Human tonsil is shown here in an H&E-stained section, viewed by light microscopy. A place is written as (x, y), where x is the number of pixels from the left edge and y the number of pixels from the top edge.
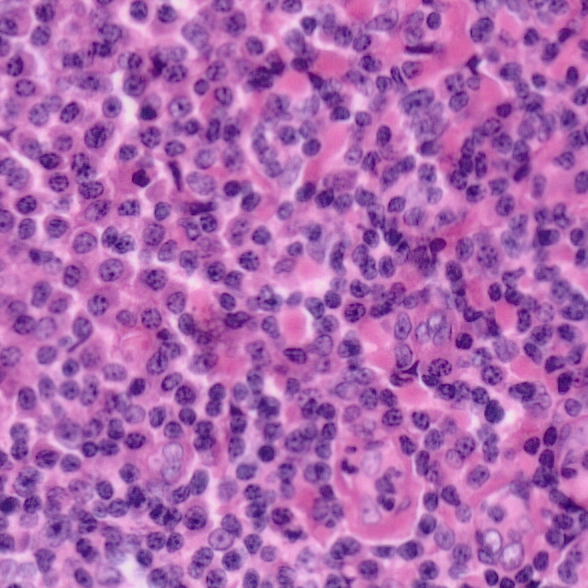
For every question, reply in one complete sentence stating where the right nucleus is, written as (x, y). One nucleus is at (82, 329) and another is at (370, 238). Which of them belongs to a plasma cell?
Of the two candidate nuclei, the one at (82, 329) is that of a plasma cell.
